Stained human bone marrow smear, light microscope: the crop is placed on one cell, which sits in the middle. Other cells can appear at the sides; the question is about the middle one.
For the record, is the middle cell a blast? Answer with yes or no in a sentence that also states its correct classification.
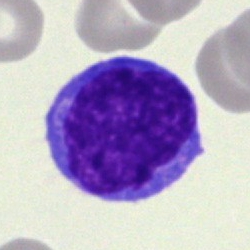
Yes, the cell occupying the center is a blast.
